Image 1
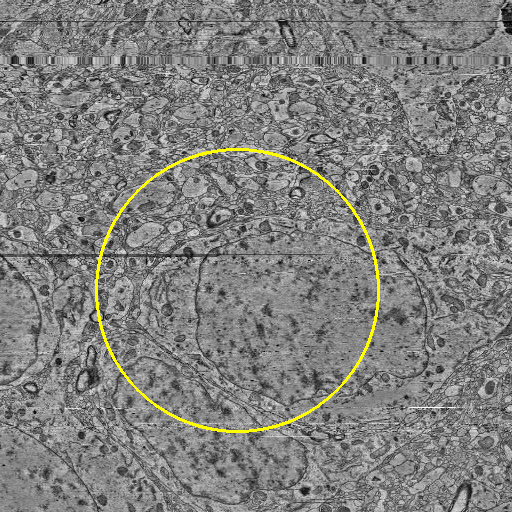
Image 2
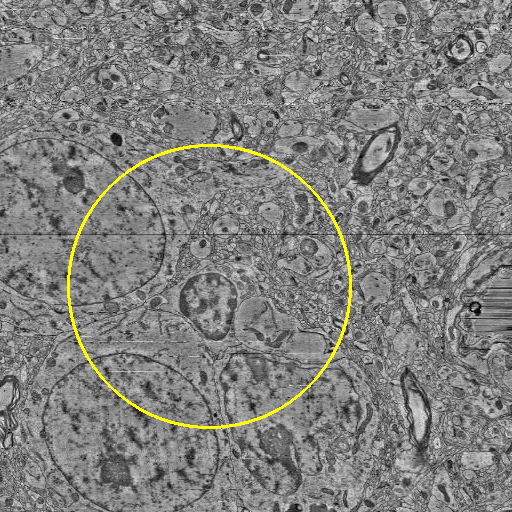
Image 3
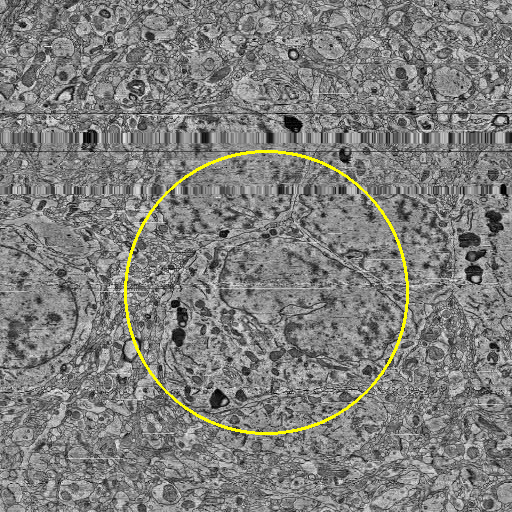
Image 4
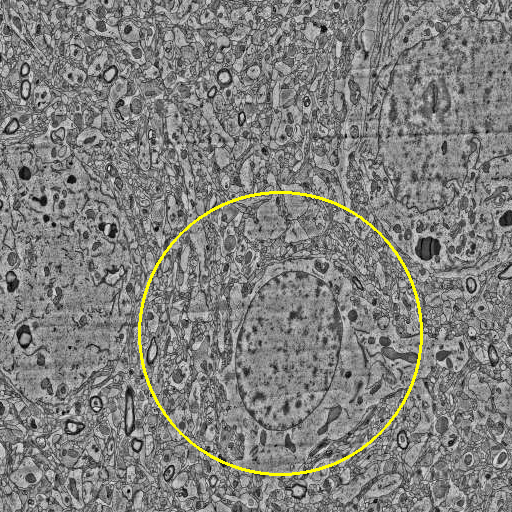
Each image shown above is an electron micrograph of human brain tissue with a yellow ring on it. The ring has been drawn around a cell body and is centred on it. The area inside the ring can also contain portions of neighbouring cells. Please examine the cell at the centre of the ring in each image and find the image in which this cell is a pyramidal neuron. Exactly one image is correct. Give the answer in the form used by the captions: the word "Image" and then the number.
Image 1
